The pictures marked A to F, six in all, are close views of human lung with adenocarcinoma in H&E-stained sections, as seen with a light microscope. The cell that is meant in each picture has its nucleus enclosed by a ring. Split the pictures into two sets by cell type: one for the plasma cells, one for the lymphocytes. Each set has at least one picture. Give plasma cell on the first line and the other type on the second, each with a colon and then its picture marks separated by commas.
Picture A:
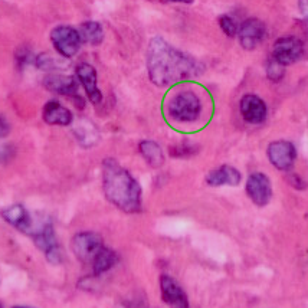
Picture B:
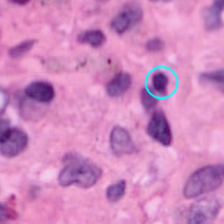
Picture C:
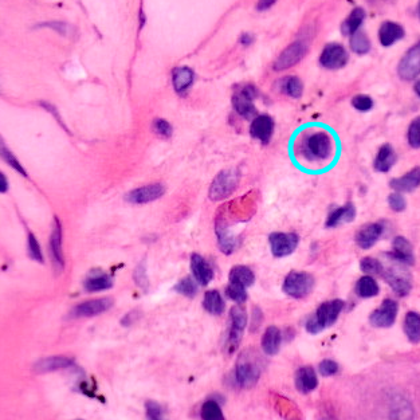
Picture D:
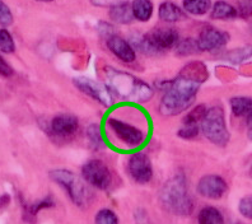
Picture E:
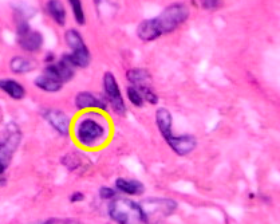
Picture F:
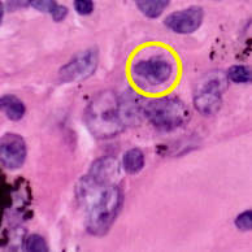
plasma cell: A, D
lymphocyte: B, C, E, F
